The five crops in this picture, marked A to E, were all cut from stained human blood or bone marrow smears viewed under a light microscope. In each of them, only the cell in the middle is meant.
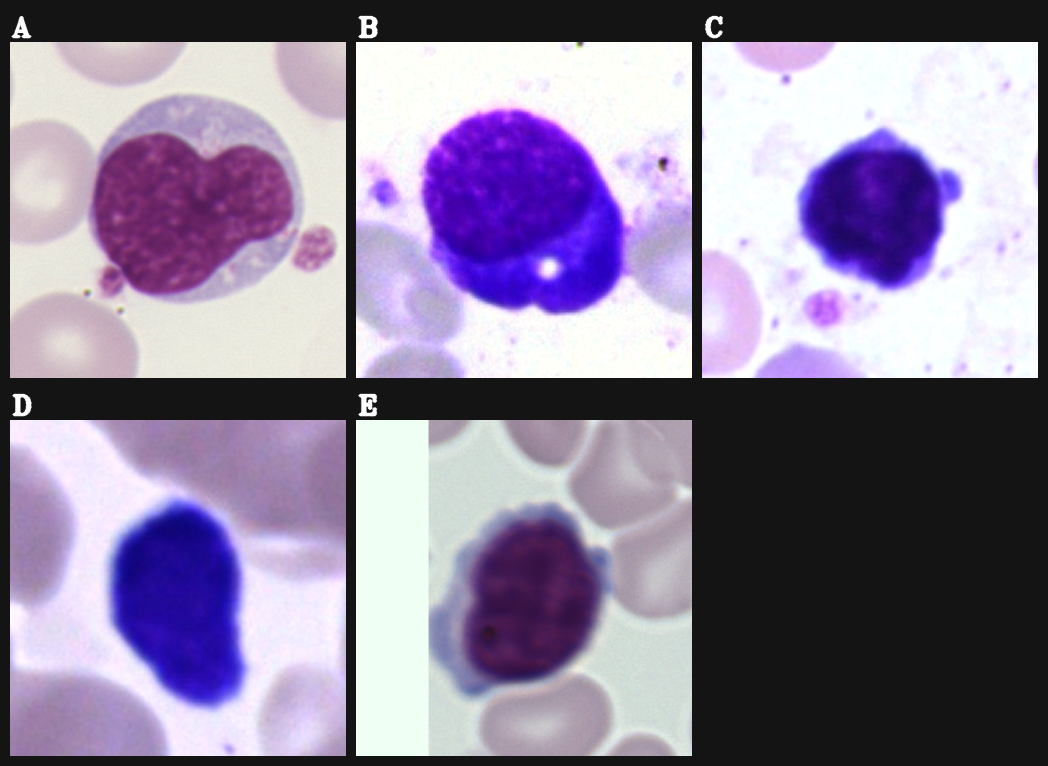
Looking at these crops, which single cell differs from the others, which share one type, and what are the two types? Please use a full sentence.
Whereas the other crops all show lymphocytes, crop B shows a plasma cell.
